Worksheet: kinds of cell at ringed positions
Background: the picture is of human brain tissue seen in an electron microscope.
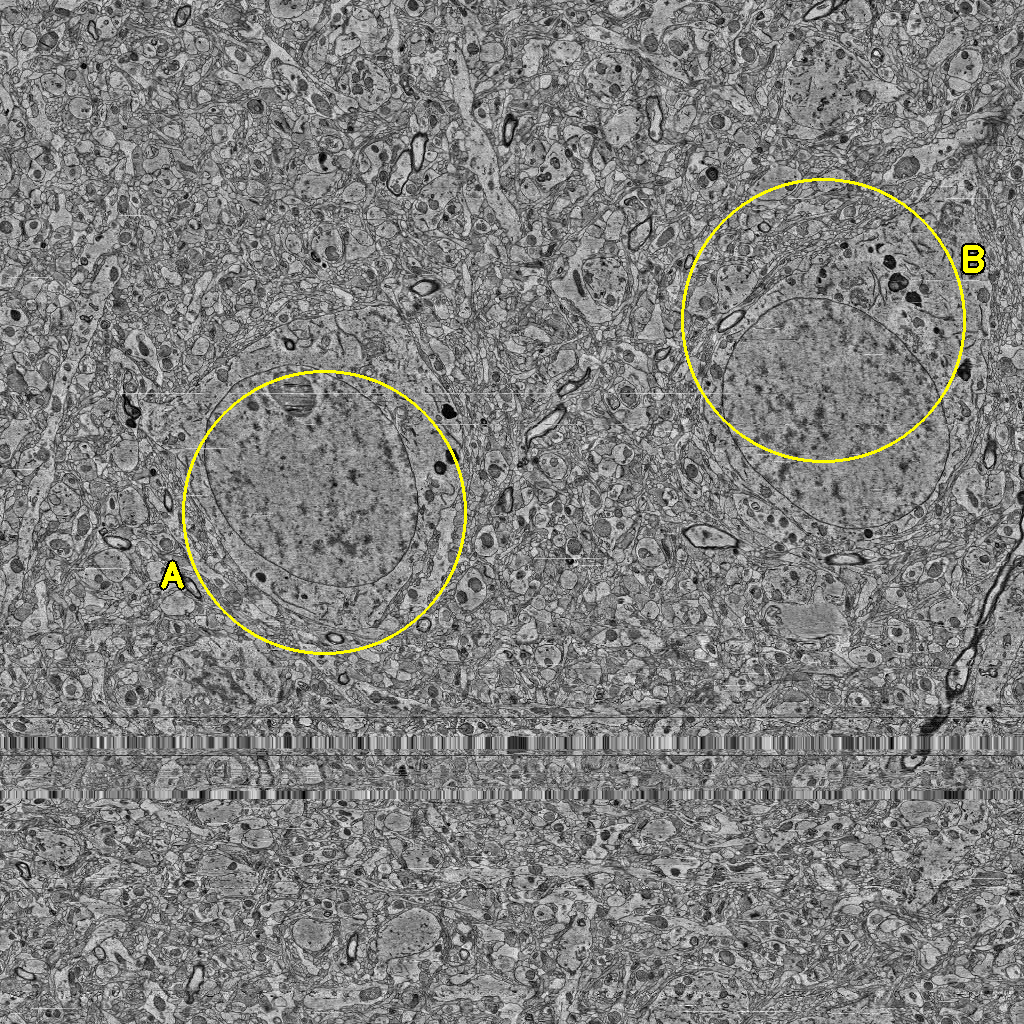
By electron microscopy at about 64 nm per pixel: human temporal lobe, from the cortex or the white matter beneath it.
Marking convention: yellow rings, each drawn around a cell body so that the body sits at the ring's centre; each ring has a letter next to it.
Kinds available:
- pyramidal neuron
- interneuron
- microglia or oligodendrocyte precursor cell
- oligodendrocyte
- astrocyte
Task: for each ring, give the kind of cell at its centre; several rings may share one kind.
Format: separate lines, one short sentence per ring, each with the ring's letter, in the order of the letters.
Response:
Ring A is drawn around a pyramidal neuron.
Ring B is drawn around a pyramidal neuron.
